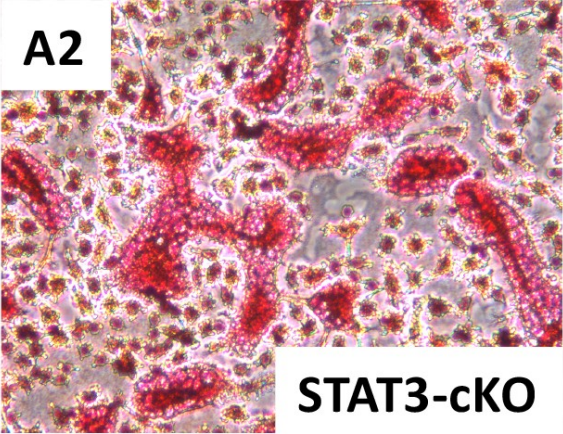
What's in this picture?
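Cultured osteoclasts appear as very large, elongated or branched cells with granular cytoplasm stained deep red. Numerous small round cells, many lightly stained, fill the spaces between them, and some large cells seem to run into one another.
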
